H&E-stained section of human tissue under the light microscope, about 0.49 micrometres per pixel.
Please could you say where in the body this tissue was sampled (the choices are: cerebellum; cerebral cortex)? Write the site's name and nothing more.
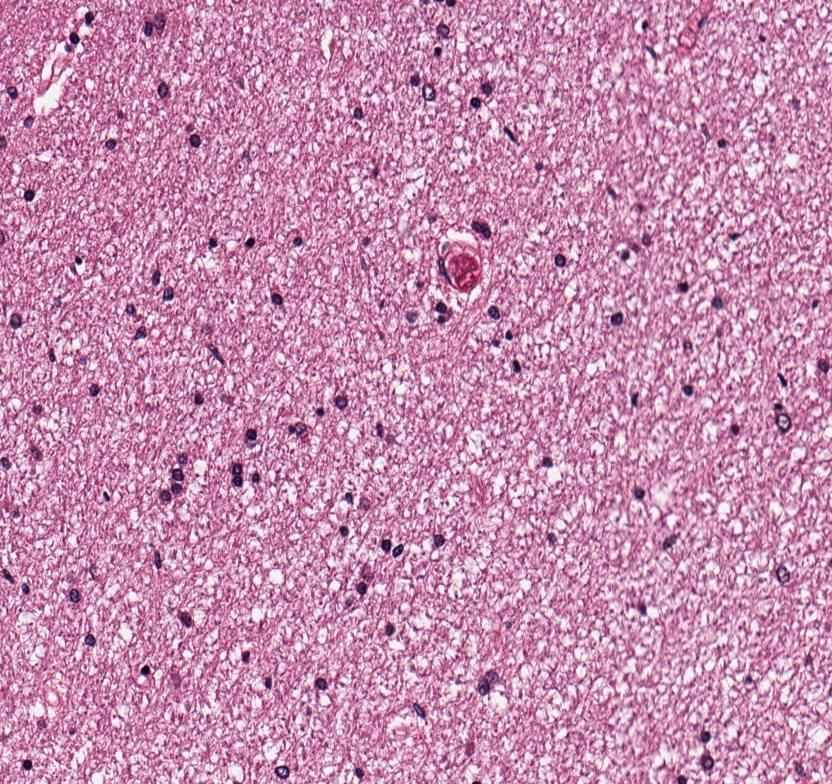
cerebellum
